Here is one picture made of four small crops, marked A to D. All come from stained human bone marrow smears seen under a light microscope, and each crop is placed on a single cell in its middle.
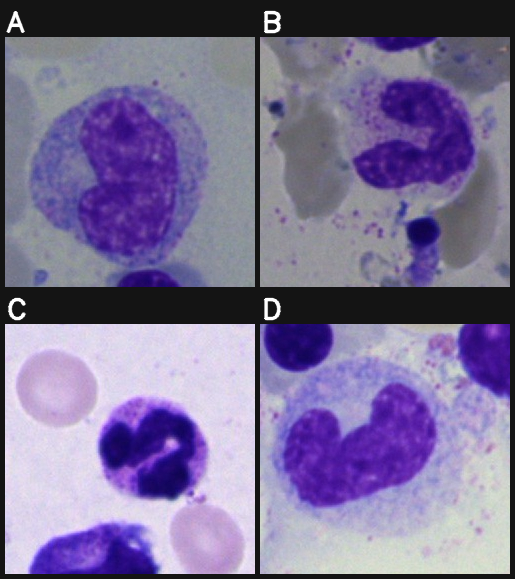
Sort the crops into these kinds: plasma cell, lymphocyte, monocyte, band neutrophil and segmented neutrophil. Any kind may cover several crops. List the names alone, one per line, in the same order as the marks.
monocyte
segmented neutrophil
segmented neutrophil
monocyte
